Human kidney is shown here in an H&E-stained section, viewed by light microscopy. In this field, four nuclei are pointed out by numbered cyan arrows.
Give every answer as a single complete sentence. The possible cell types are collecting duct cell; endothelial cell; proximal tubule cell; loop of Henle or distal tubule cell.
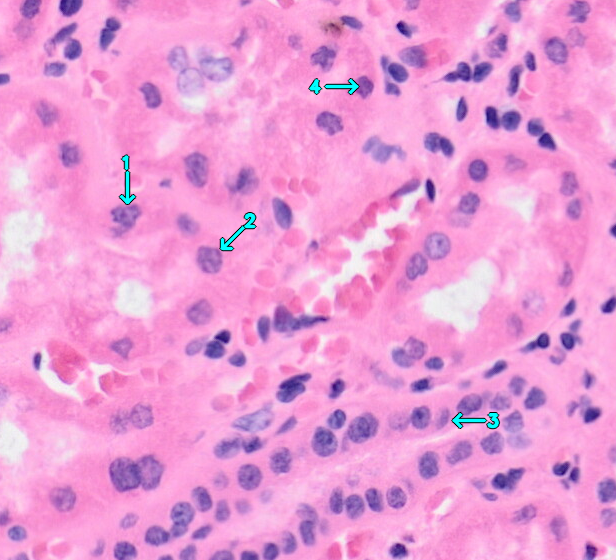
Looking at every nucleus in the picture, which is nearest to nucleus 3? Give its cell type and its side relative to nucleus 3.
The closest nucleus belongs to a collecting duct cell and sits to the left of nucleus 3.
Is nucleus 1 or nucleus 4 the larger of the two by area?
The larger nucleus is 1, at roughly 2 times the area of 4.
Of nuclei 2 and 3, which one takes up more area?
Nucleus 2 is larger, with an area about 2.5 times that of nucleus 3.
